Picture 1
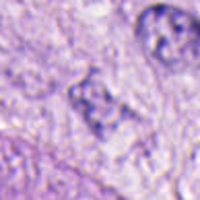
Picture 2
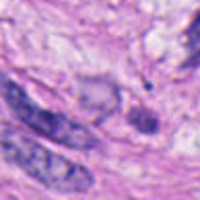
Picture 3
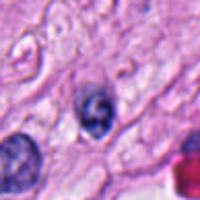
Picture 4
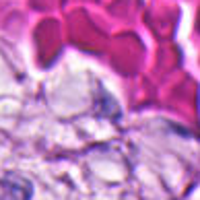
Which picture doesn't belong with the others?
Picture 1.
